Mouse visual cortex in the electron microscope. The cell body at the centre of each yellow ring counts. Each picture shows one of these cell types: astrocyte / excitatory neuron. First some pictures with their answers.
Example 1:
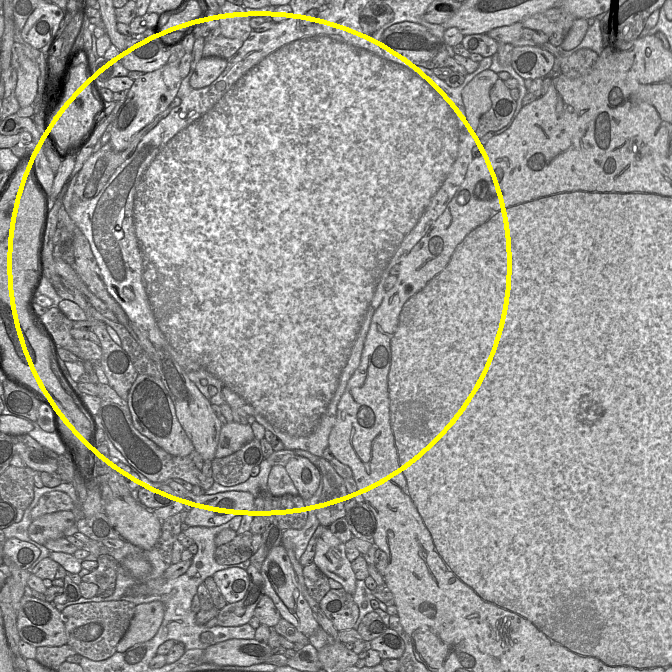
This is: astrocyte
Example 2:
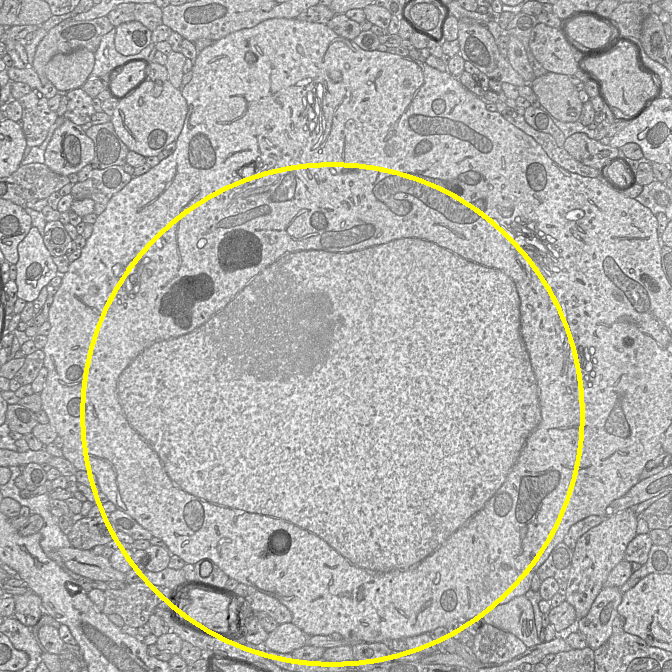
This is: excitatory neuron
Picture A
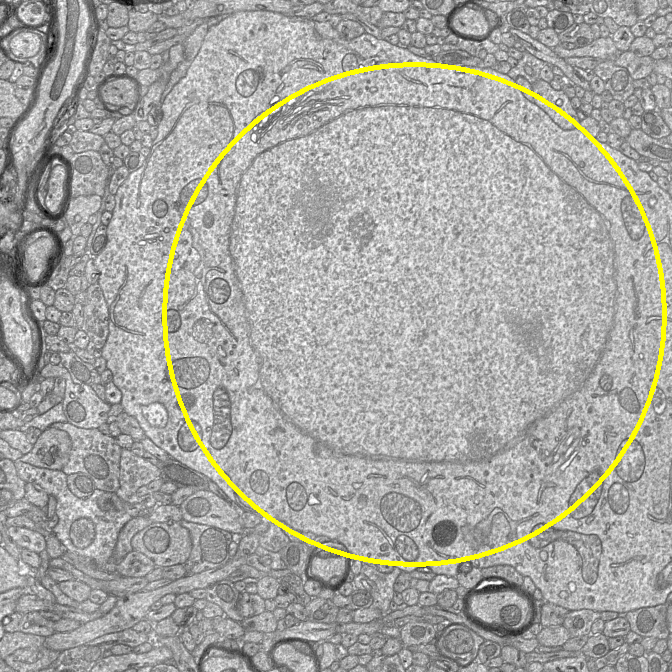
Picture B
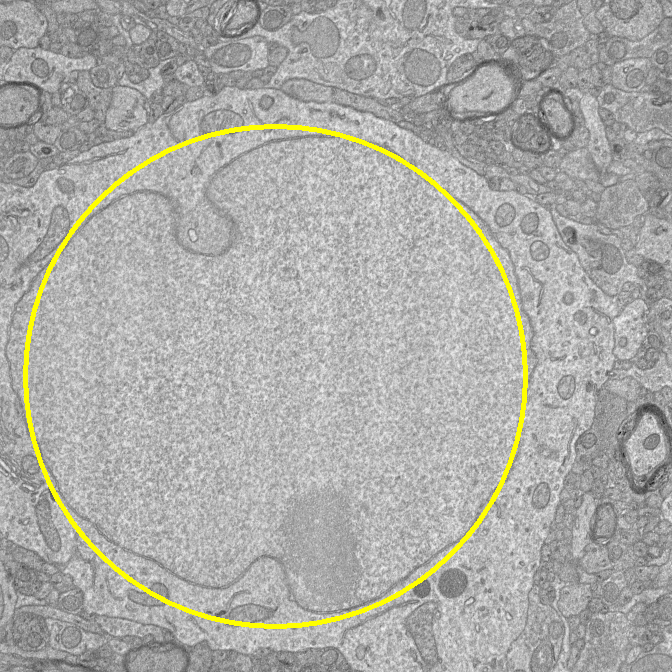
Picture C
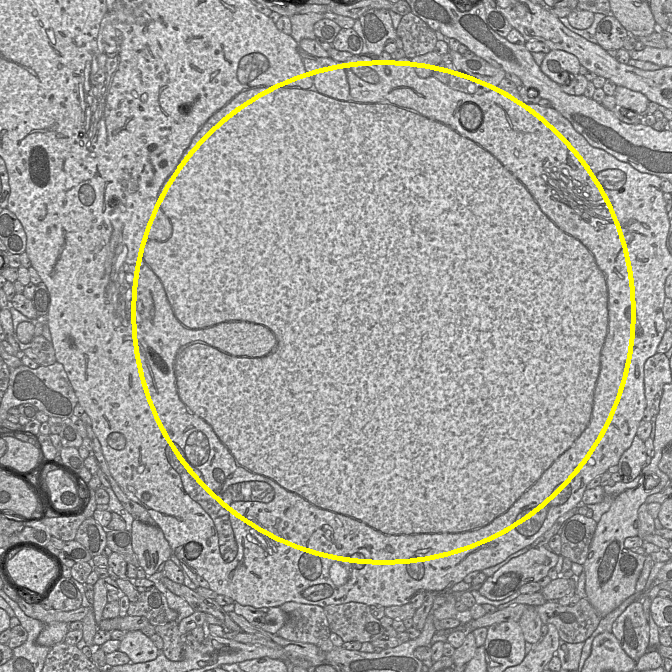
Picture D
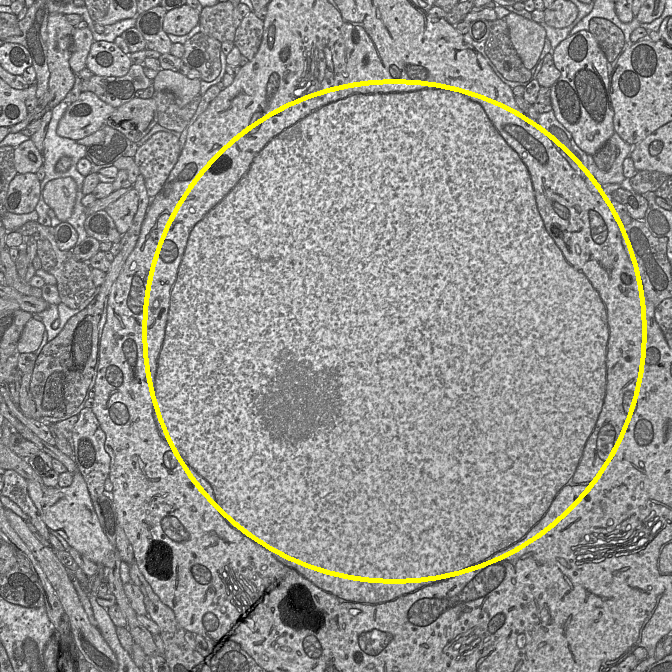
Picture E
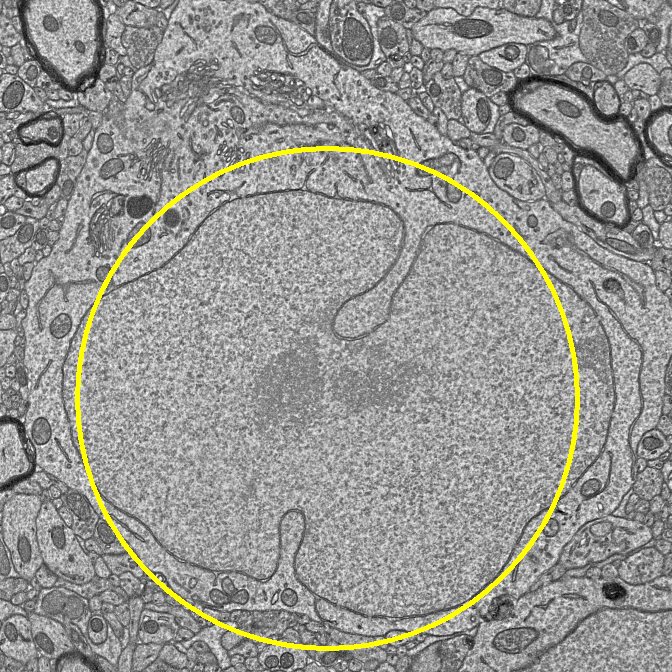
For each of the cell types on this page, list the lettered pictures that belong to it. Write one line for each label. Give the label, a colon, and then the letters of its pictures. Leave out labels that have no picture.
excitatory neuron: A, B, C, D, E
